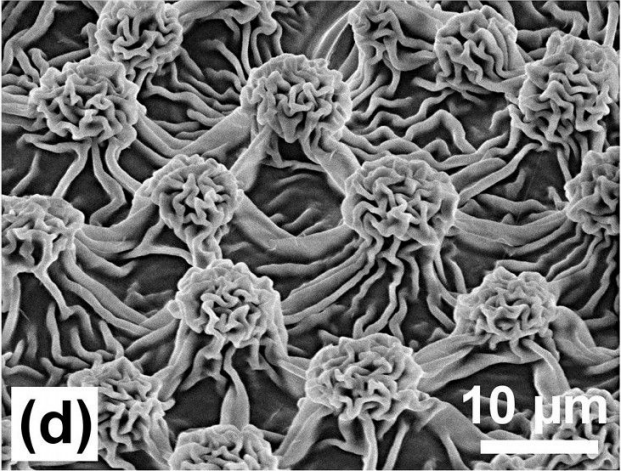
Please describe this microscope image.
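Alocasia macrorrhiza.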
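This leaf surface shows a regular array of rounded papillae whose tops are crumpled into tight, convoluted folds like small rosettes. From each papilla, wavy ridges run outward across the flatter surface and link neighbouring papillae in a net-like pattern. The ridges and folds look smooth, without the fine crystal or flake texture of other leaf surfaces.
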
